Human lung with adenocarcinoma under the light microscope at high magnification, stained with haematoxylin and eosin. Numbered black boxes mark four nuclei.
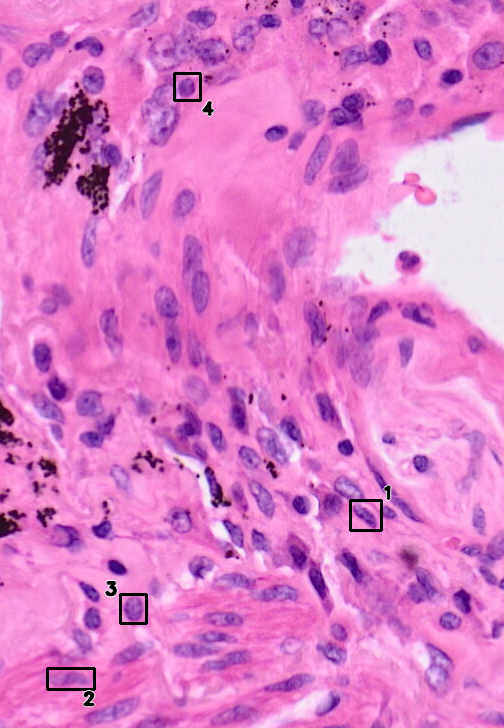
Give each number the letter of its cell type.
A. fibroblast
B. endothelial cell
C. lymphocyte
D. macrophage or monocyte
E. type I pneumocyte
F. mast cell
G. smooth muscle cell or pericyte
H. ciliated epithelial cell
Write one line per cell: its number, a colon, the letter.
1: F
2: G
3: F
4: C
